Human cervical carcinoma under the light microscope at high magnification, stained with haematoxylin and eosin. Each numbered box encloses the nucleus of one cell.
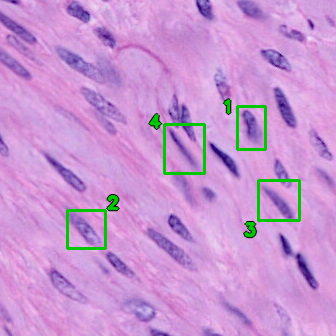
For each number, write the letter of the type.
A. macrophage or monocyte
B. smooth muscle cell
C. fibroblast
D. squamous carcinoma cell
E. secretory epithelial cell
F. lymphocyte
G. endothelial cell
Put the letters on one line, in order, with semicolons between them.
C; B; C; C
